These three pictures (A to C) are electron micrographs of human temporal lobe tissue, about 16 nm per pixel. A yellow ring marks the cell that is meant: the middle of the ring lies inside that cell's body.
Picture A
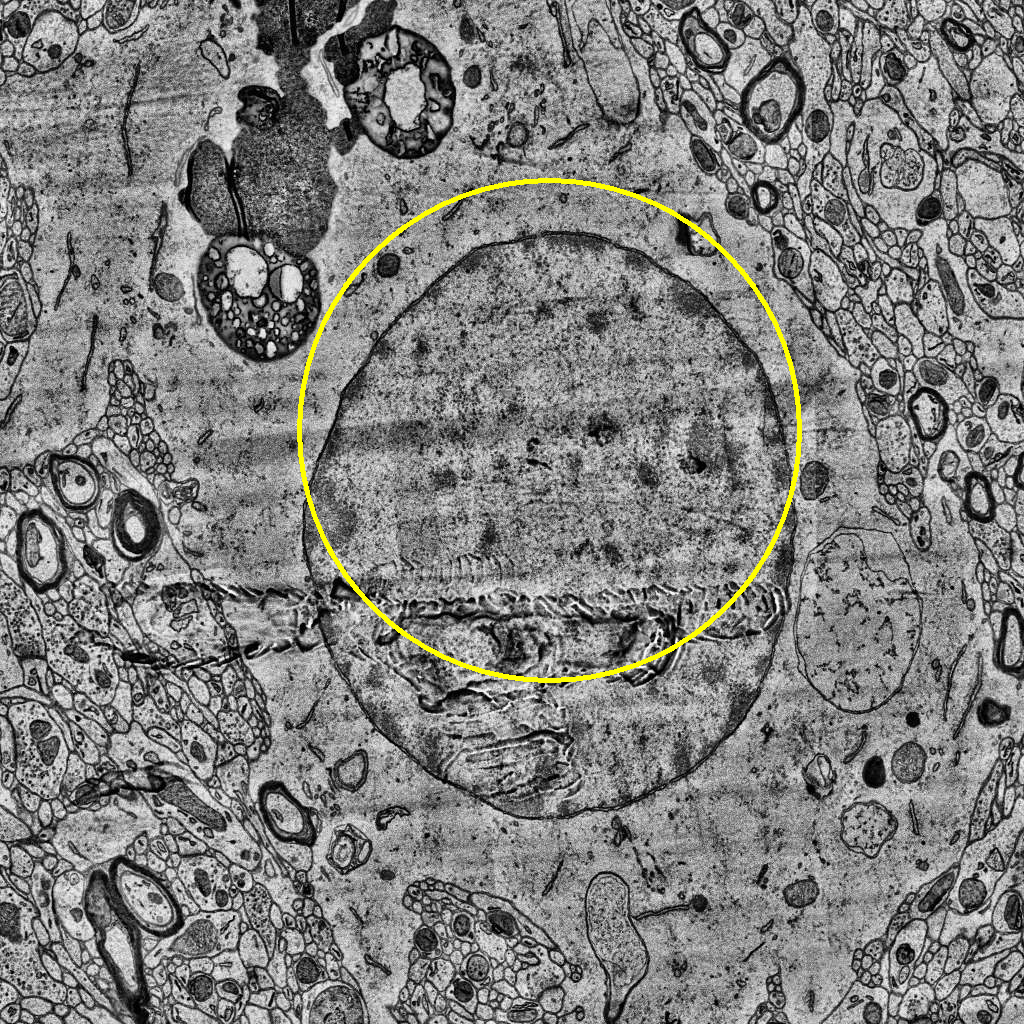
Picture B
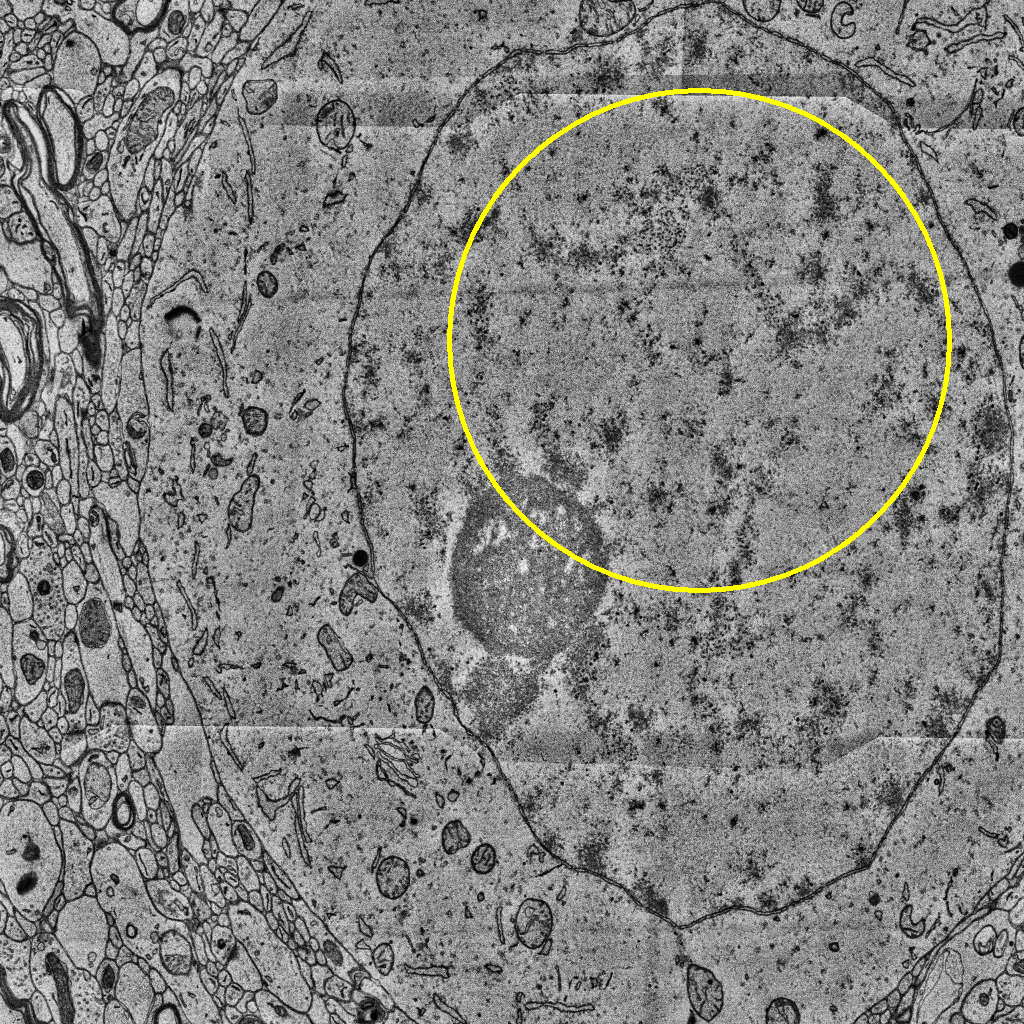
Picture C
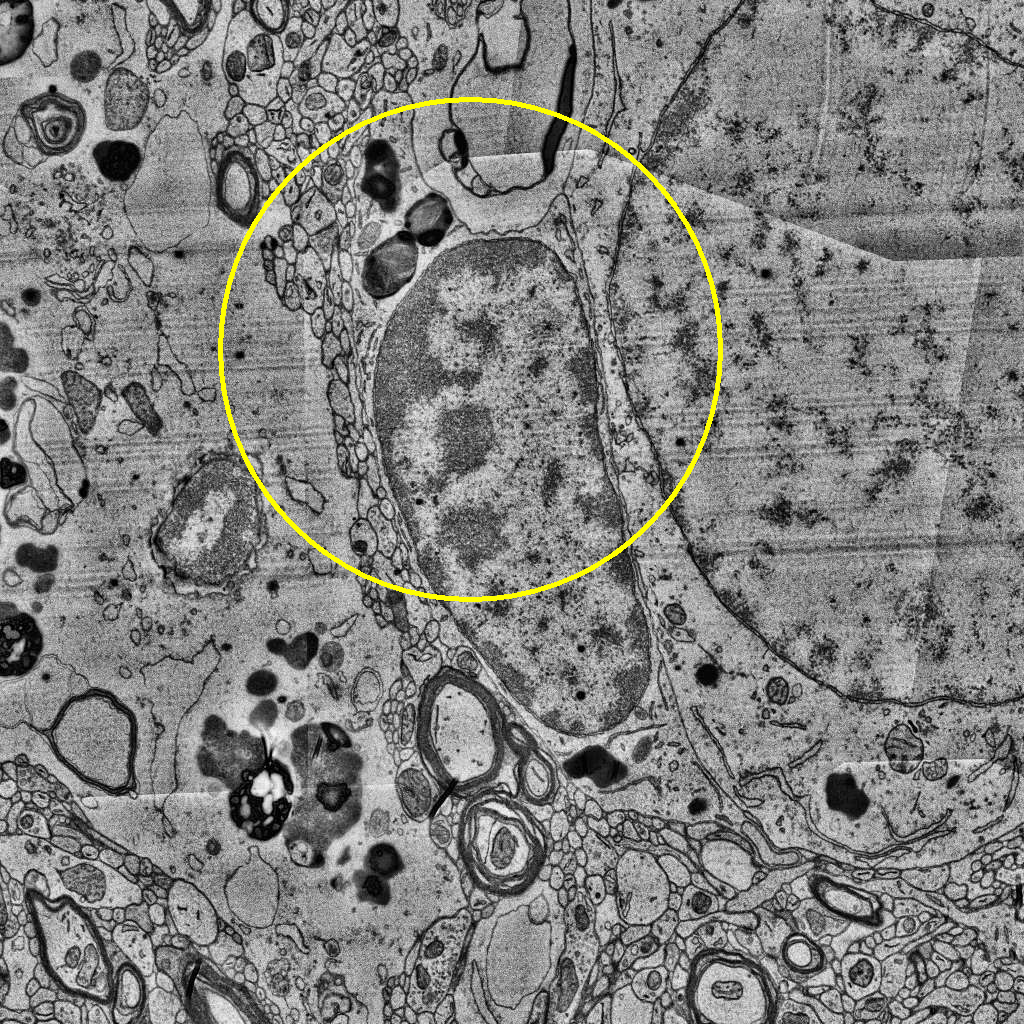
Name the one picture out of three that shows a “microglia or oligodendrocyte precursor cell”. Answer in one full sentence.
Picture C is the one that shows the “microglia or oligodendrocyte precursor cell”.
